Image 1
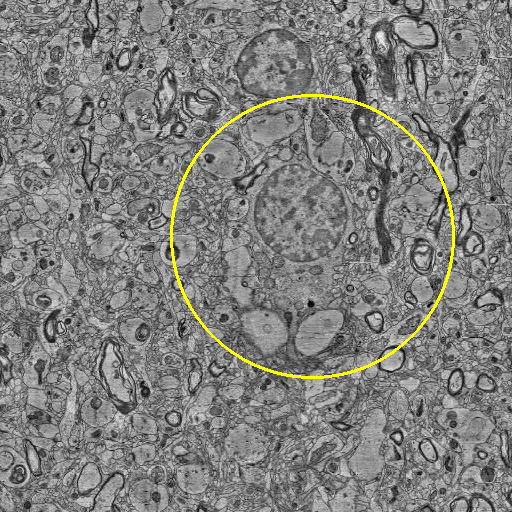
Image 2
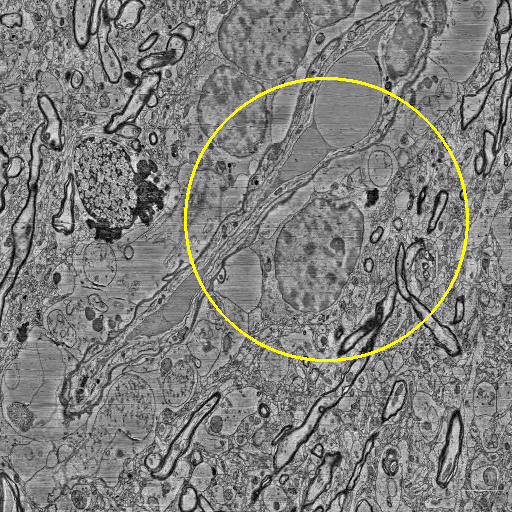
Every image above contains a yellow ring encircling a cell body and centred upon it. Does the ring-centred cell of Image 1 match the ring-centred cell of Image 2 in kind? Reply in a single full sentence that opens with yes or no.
Yes, the cell at the ring's centre in Image 1 is the same kind as that in Image 2.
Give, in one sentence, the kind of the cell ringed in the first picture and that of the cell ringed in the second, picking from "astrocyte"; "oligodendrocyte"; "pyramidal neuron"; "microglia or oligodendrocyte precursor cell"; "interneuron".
The second cell is an oligodendrocyte, just as the first is.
